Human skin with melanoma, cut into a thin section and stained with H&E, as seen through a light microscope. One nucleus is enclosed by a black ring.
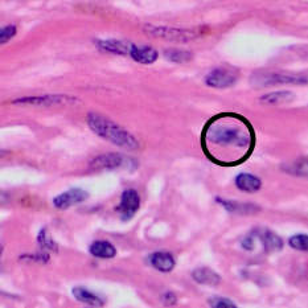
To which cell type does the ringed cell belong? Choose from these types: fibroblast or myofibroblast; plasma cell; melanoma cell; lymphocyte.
lymphocyte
